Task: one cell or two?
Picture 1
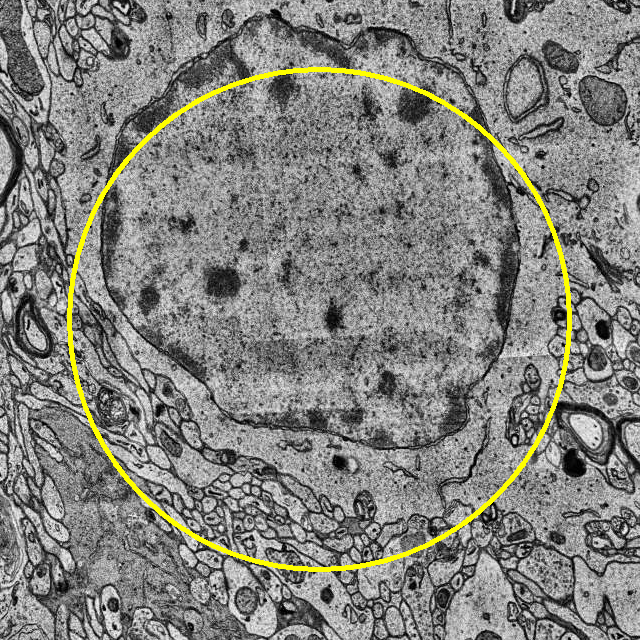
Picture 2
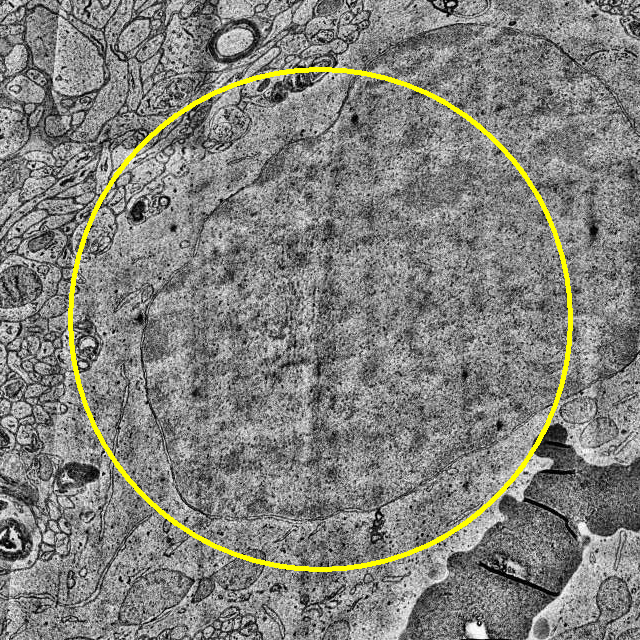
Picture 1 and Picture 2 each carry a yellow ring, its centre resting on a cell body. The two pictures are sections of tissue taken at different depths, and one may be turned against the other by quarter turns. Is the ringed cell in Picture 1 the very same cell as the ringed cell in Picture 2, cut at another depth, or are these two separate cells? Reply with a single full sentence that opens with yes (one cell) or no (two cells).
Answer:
Yes, the two rings refer to one cell in the tissue.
